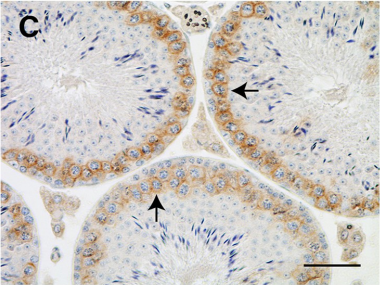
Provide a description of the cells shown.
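Cross-sections of seminiferous tubules show a layered epithelium around lumens holding bundles of tails and dark elongated heads. Brown stain forms a distinct band near the base of each tubule, filling the cytoplasm of large round cells with big round nuclei, which are spermatocytes. The inner layers of smaller round cells toward the lumen are largely pale blue. Unlike a pattern reaching from base to lumen, the stain here stays mostly confined to this basal ring of cells. Interstitial spaces between the tubules contain a few scattered cells.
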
